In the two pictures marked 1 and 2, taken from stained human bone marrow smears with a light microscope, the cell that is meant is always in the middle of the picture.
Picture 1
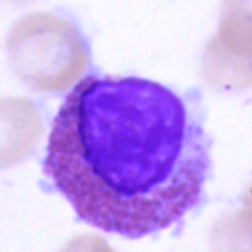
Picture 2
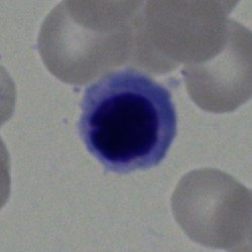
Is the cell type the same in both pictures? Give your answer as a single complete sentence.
No; the cell in picture 1 is an eosinophil, while the one in picture 2 is an erythroblast.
